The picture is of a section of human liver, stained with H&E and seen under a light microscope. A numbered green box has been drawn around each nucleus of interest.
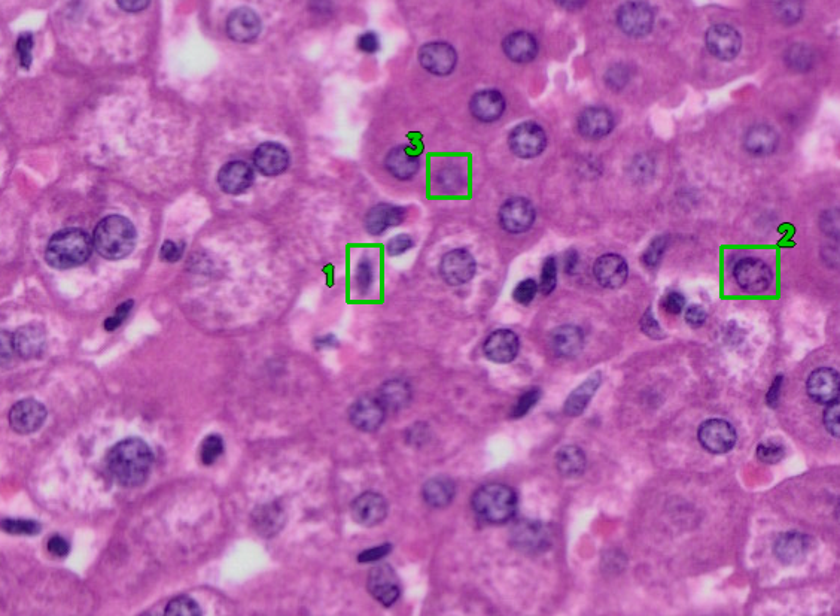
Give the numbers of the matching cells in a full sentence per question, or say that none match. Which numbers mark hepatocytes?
Identified as hepatocytes are the cells numbered 2 and 3.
